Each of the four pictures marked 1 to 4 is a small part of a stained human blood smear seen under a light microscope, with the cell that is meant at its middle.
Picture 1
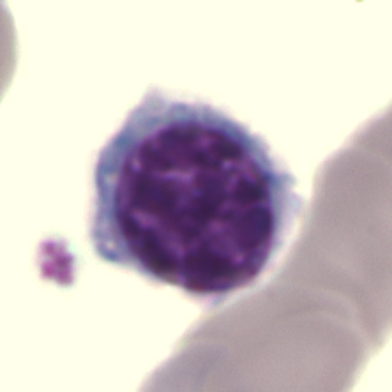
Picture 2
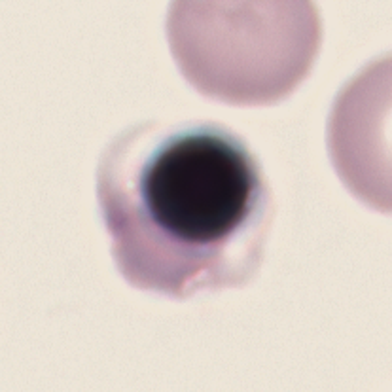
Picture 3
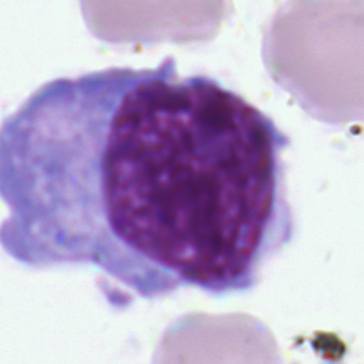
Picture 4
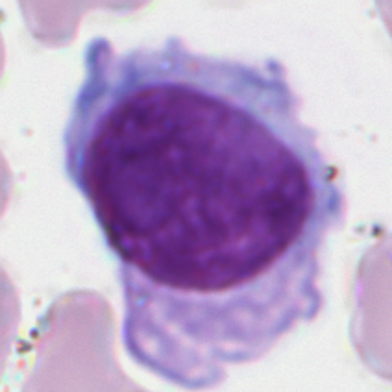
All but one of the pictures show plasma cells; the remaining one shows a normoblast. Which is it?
2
